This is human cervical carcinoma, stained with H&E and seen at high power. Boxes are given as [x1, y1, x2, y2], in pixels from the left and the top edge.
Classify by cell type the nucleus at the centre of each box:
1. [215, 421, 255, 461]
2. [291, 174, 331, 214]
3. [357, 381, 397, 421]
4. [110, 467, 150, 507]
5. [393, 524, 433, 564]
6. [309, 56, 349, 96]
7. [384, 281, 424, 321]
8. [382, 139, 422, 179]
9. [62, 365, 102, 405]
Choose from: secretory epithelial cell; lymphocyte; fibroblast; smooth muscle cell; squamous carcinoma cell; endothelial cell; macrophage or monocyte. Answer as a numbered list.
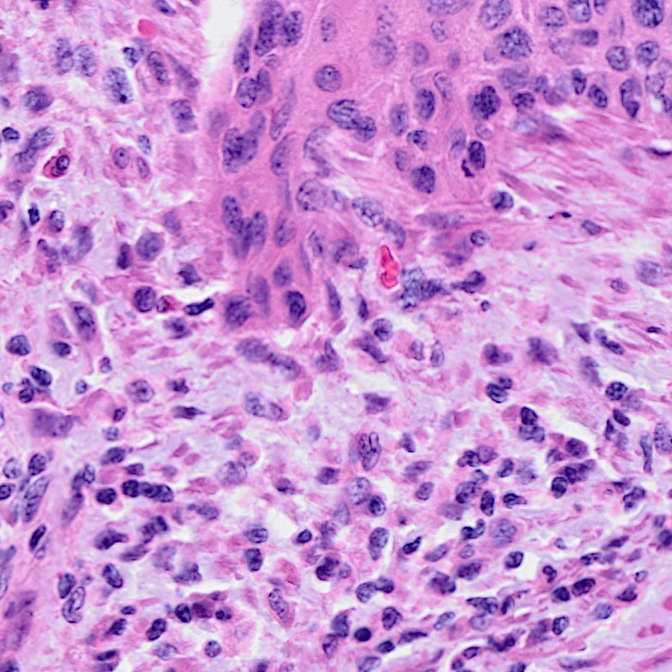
1. fibroblast
2. squamous carcinoma cell
3. fibroblast
4. lymphocyte
5. lymphocyte
6. squamous carcinoma cell
7. endothelial cell
8. squamous carcinoma cell
9. lymphocyte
